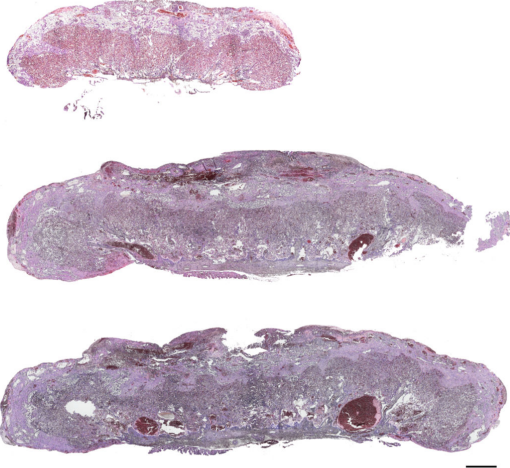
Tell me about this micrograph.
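Three whole placentae are shown in low-power cross-section, each a flattened disc with a paler pink zone toward the surface and a denser, darker-staining zone with a finely spongy texture inside. The upper section is much smaller and thinner. In the two lower, larger sections the border between the pink outer zone and the darker inner zone runs irregularly, and several dark red blood-filled spaces are scattered through the tissue.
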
